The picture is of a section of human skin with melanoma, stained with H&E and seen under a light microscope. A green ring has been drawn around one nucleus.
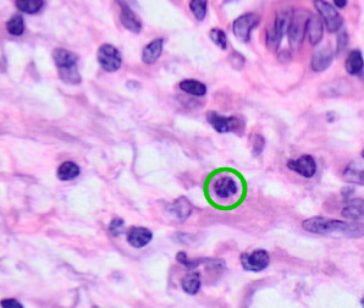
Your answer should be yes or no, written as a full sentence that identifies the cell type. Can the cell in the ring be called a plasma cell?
Yes, with respect to cell type, the cell in the ring is a plasma cell.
